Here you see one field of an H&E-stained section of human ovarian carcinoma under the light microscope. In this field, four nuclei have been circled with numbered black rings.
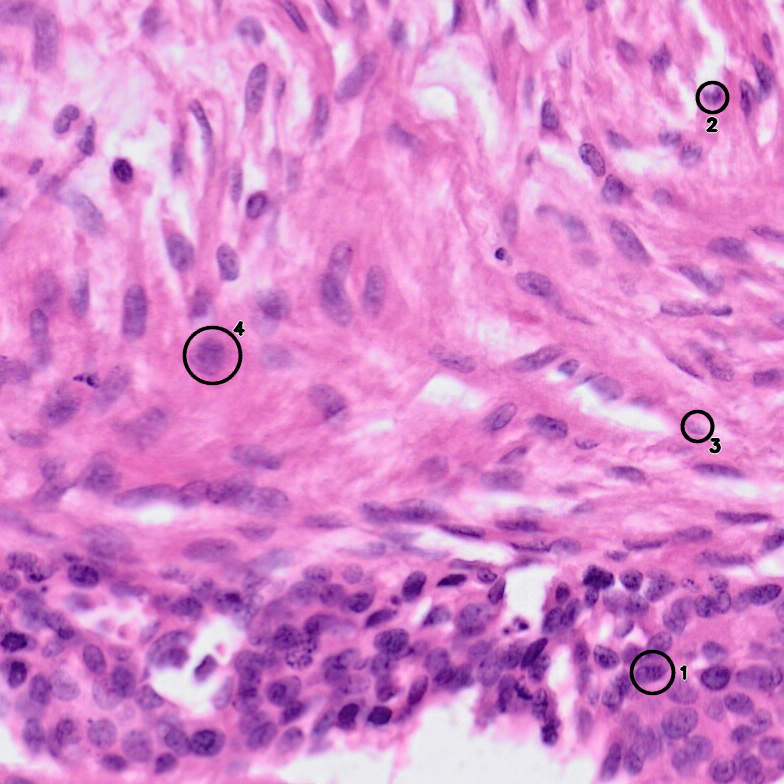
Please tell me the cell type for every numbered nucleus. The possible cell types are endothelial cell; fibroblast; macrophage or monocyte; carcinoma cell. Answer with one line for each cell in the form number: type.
1: carcinoma cell
2: fibroblast
3: fibroblast
4: fibroblast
